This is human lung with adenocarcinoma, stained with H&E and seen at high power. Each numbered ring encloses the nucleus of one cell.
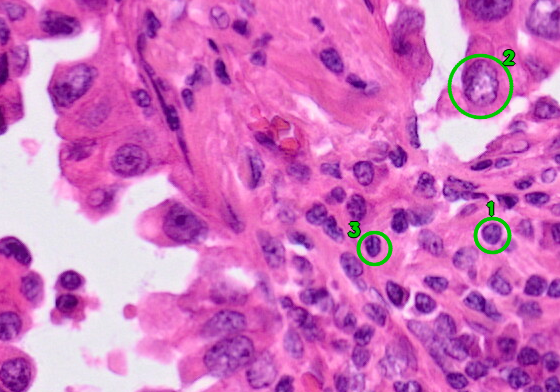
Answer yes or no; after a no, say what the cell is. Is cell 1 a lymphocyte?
Yes.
